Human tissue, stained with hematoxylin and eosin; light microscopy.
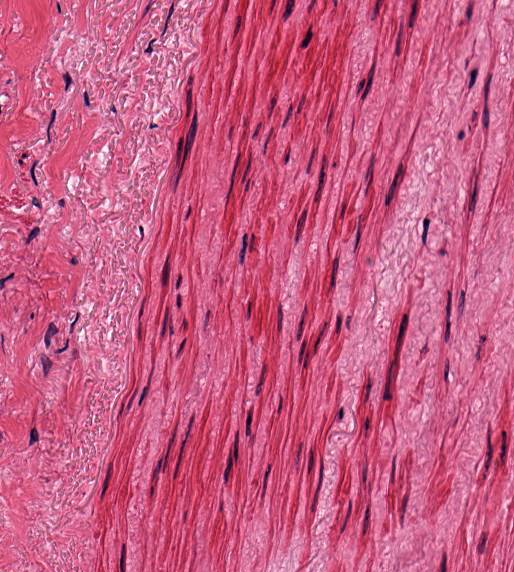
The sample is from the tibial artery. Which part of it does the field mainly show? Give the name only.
tunica media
